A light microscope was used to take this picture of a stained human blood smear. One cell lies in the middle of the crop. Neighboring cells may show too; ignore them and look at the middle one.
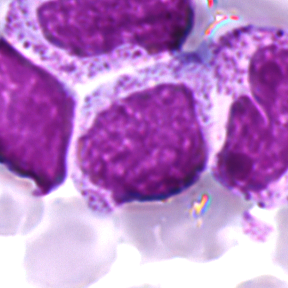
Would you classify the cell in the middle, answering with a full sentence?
The centrally positioned cell in the crop represents a myelocyte.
